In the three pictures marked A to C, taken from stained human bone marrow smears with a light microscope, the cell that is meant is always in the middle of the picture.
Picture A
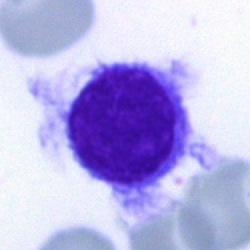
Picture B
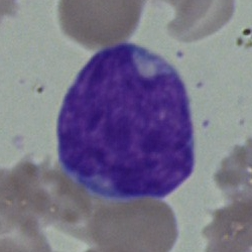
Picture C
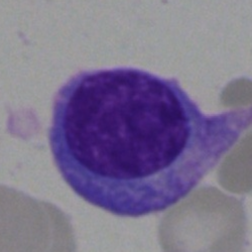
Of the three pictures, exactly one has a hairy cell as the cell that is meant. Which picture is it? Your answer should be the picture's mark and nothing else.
A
